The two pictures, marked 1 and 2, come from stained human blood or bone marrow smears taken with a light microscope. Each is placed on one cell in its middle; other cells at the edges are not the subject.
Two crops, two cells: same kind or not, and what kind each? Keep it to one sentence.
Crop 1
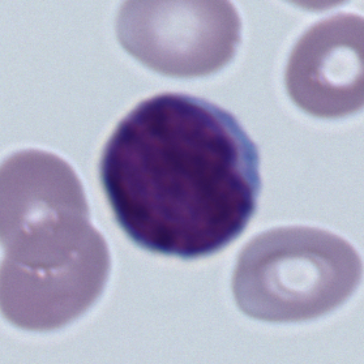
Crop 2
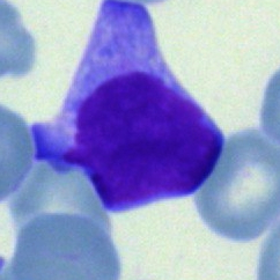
Yes, the same answer goes for both crops, namely lymphocytes.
